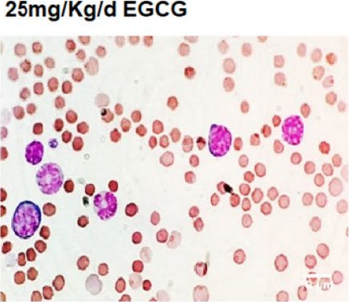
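Peripheral blood smear dominated by red cells with few nucleated white cells. Red cells are small, round, pink to orange and anucleate, spread in a single layer. A handful of larger nucleated cells stand out: round cells with purple nuclei of fine chromatin, and one cell at the lower left with a ring of blue-violet staining around a paler centre. Nucleated cells are fewer and more widely spaced than red cells, leaving most of the field to red cells.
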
